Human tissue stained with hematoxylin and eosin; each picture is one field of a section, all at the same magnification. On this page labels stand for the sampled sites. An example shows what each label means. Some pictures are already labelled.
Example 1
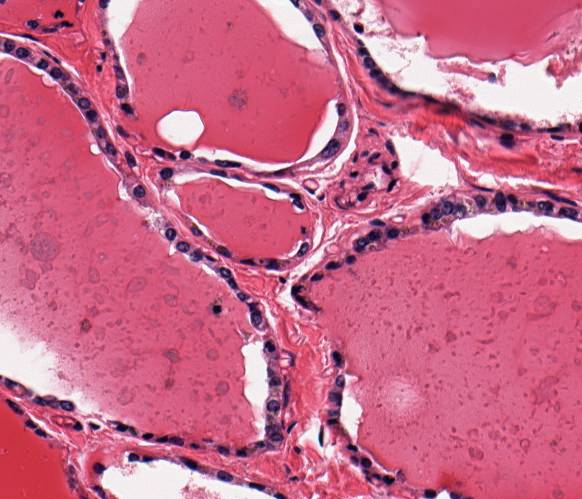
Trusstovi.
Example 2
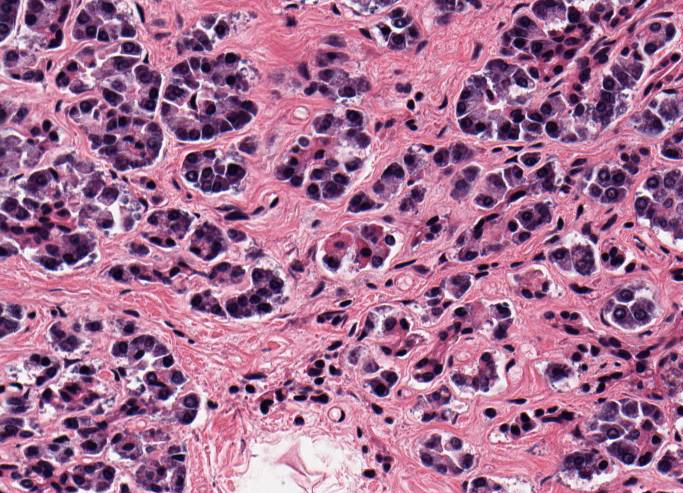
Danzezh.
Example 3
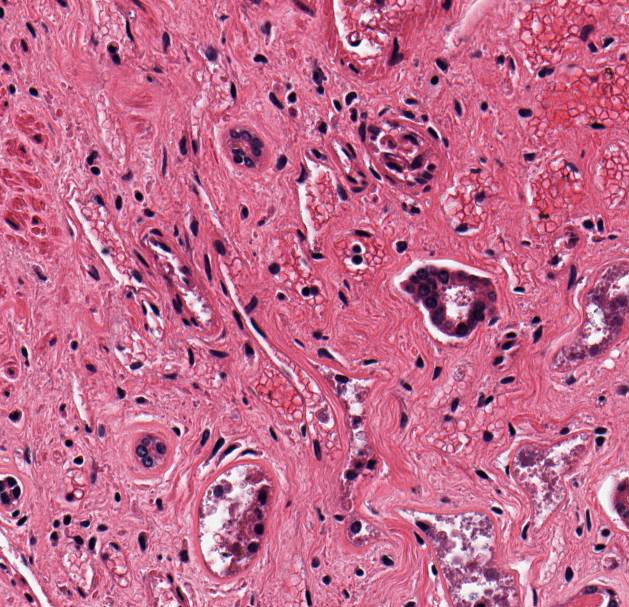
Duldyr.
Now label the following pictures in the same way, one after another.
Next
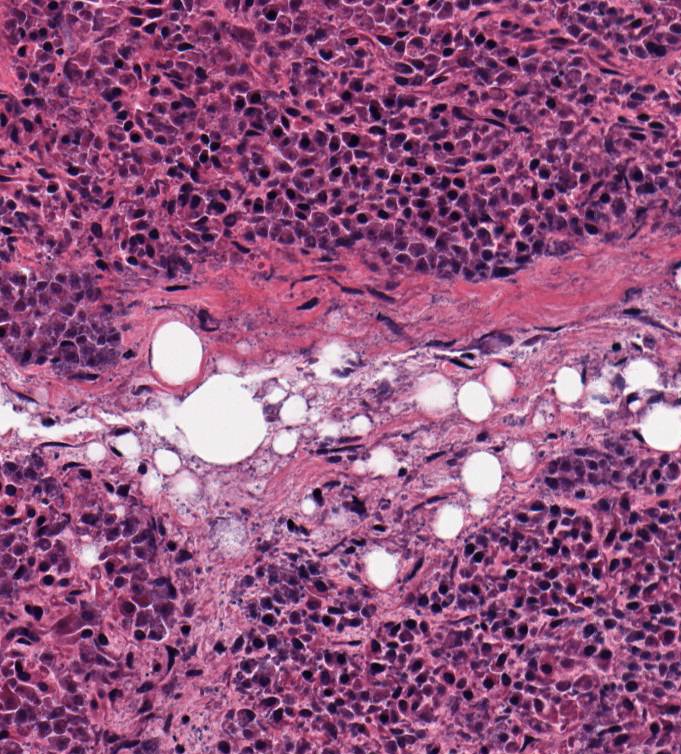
Danzezh.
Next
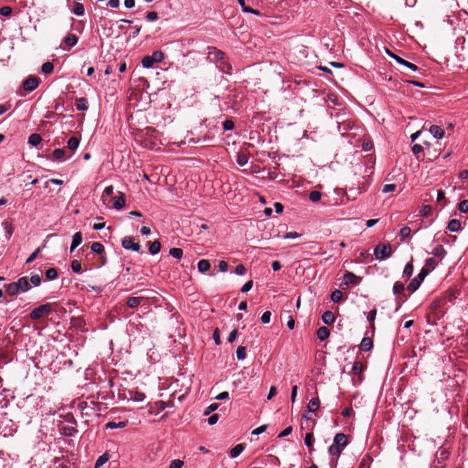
Duldyr.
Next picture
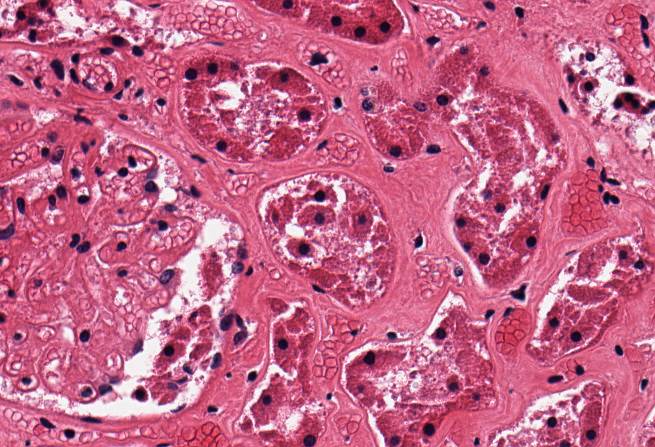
Duldyr.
